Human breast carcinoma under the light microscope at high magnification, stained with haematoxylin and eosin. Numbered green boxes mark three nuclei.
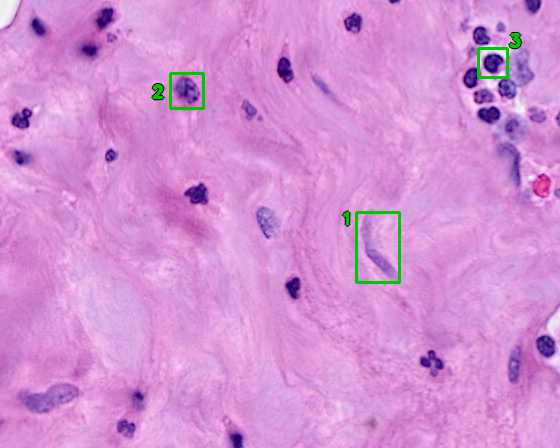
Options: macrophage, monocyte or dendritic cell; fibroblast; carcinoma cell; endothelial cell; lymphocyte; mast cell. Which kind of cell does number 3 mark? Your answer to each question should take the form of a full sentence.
The correct answer for cell 3 is a lymphocyte.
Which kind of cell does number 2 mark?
The marked nucleus 2 is that of a mast cell.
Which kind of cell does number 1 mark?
The nucleus marked 1 is the nucleus of a fibroblast.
